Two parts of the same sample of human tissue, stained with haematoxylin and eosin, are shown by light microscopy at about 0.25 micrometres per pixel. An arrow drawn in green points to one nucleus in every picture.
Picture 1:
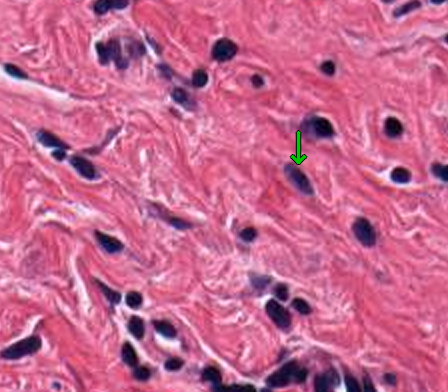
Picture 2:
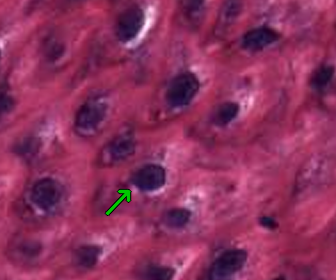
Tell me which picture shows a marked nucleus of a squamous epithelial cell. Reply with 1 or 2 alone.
2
